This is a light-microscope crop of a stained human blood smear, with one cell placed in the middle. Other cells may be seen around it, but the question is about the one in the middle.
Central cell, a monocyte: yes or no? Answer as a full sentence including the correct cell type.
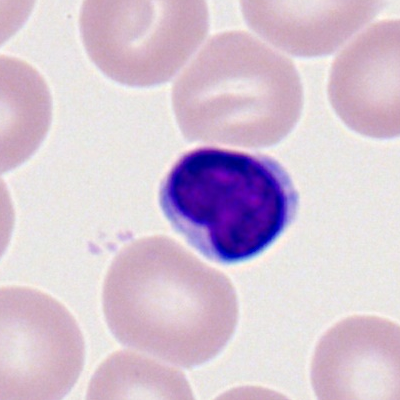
No, the cell in the middle of the crop counts as a lymphocyte and not as a monocyte.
